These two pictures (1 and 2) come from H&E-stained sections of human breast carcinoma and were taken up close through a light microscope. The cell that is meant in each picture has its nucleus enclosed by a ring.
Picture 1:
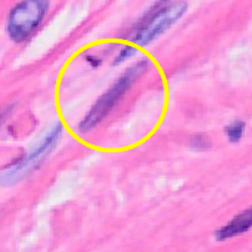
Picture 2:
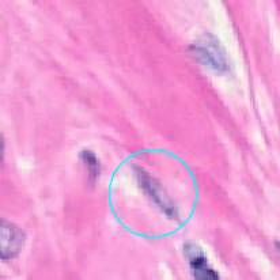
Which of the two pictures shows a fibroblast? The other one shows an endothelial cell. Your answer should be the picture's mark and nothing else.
2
